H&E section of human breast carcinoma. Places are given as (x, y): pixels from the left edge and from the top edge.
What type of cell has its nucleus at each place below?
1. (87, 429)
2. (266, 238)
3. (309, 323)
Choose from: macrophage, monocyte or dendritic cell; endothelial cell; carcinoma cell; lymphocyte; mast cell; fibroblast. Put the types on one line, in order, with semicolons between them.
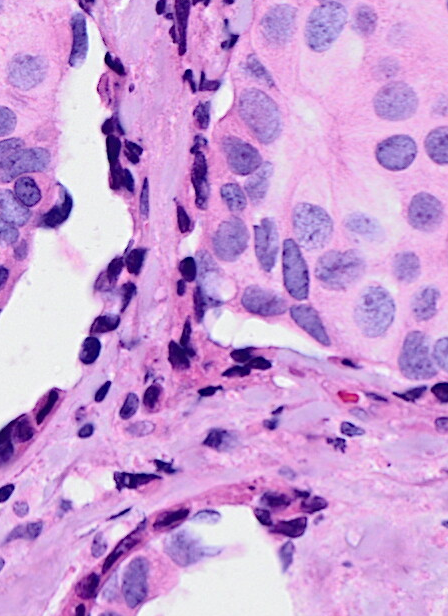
lymphocyte; carcinoma cell; carcinoma cell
